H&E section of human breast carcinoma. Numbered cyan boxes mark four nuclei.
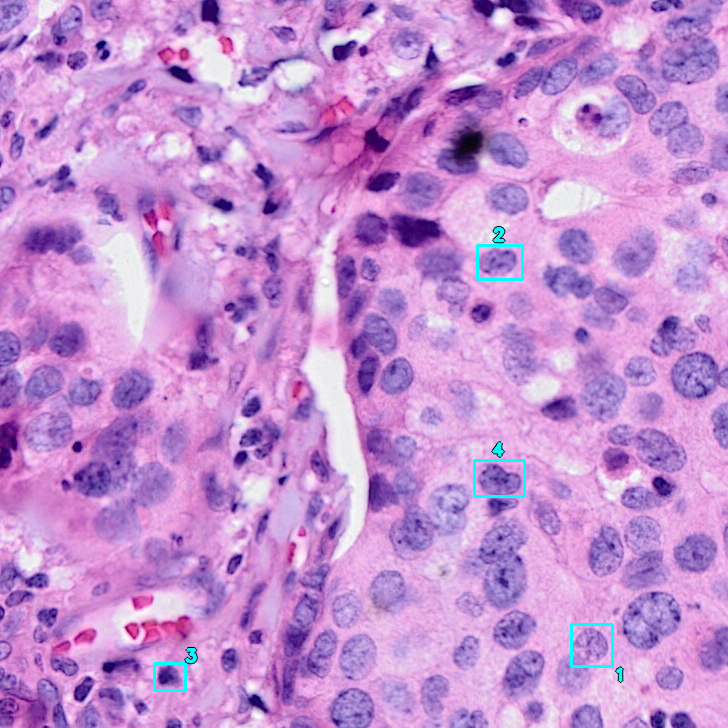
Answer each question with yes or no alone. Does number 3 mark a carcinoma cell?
no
